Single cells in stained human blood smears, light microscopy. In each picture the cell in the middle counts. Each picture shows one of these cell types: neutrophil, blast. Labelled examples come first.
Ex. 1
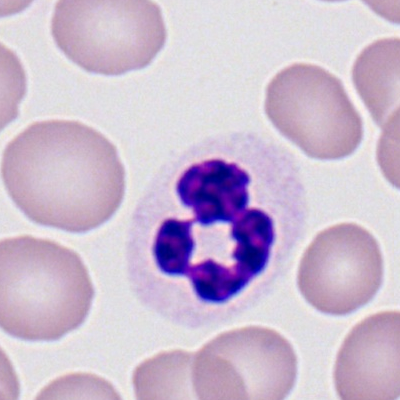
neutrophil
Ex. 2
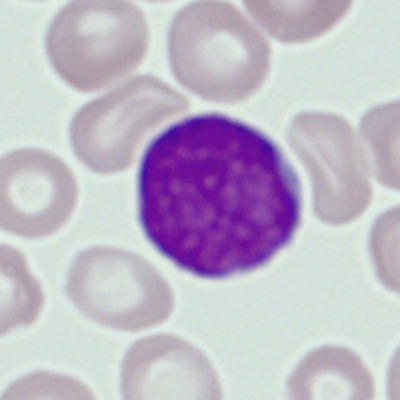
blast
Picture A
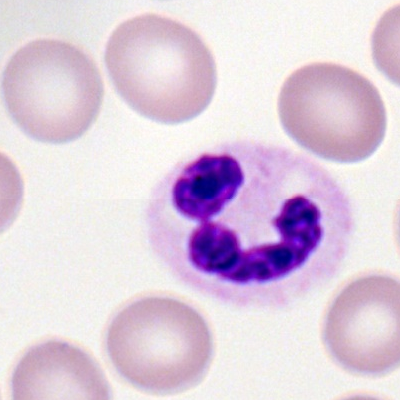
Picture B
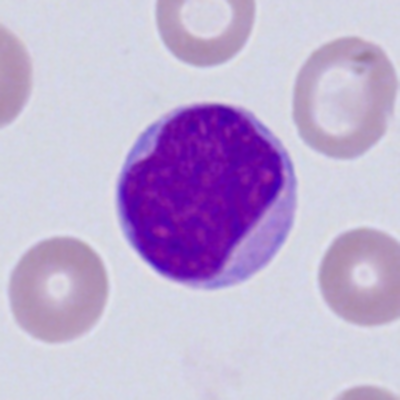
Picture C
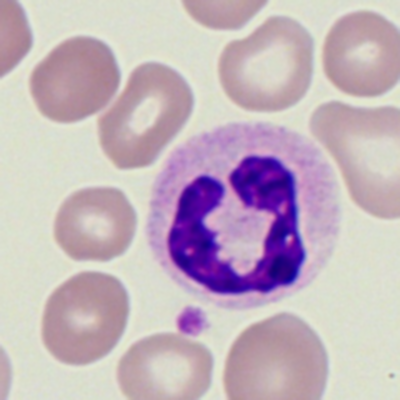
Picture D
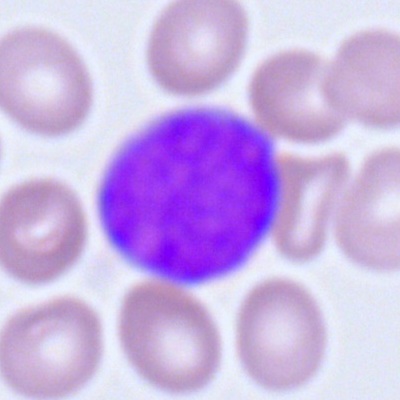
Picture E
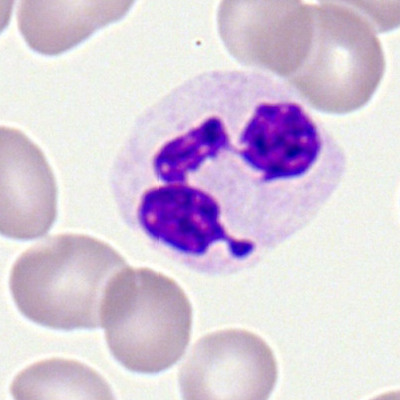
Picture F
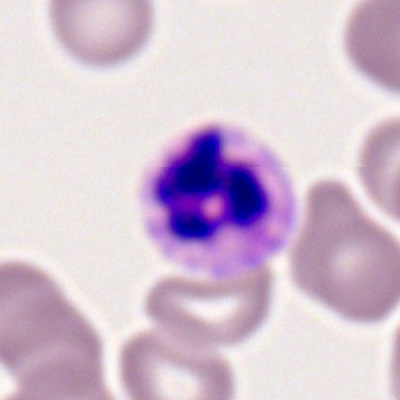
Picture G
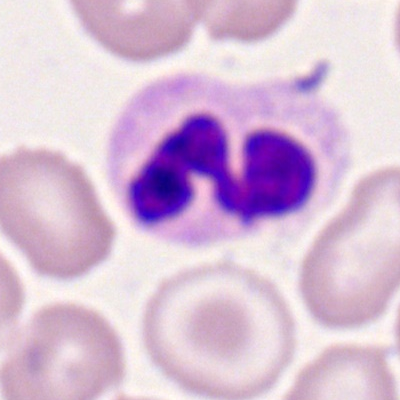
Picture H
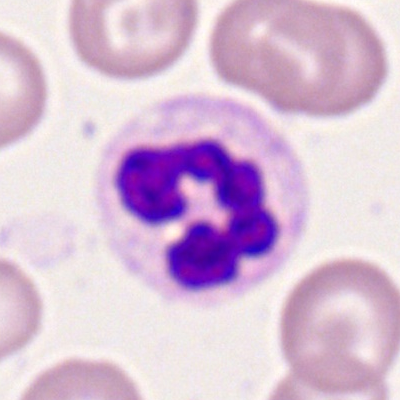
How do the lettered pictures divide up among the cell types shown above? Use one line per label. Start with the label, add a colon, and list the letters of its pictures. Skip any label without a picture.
neutrophil: A, C, E, F, G, H
blast: B, D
